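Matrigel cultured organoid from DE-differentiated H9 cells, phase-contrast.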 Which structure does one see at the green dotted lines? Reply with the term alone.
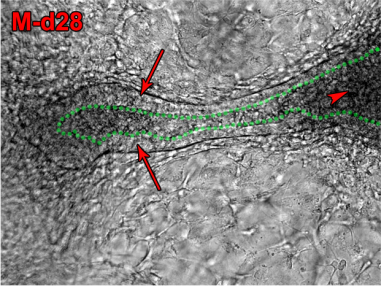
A: central lumens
